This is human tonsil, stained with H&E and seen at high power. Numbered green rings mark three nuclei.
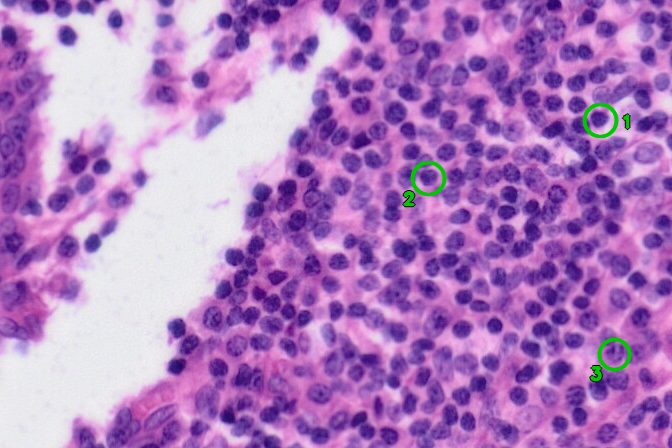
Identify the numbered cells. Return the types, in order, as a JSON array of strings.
["small lymphocyte", "small lymphocyte", "plasma cell"]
